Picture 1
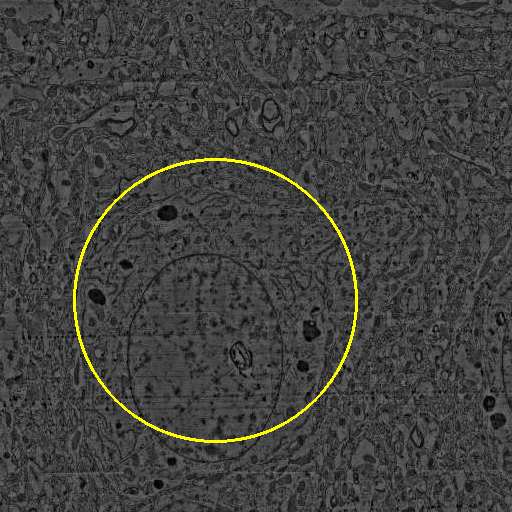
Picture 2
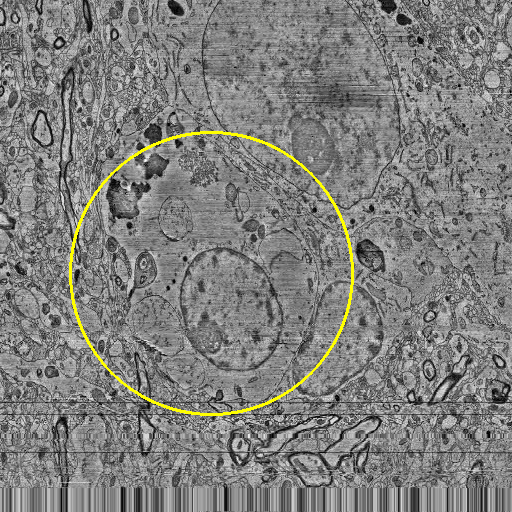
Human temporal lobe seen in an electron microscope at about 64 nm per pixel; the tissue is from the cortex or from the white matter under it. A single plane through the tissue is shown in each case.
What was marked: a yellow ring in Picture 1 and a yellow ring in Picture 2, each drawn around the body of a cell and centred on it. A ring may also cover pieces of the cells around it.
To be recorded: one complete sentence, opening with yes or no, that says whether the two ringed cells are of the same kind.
No, the two ringed cells are of two kinds.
